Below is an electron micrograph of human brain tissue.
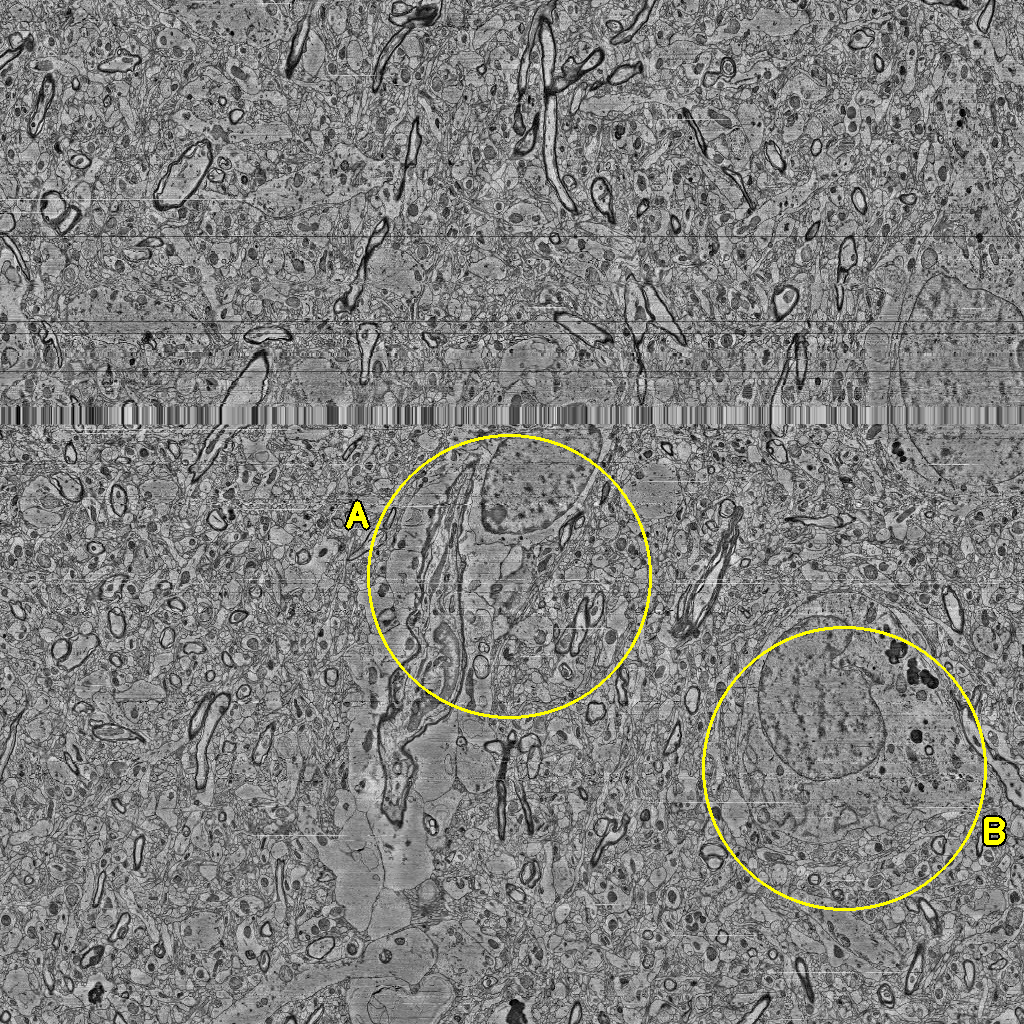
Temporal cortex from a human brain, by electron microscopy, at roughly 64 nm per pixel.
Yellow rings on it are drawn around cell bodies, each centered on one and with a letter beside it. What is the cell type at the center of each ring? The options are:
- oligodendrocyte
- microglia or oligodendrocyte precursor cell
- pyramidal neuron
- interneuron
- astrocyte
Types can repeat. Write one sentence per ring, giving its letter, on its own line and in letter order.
At the center of ring A is an oligodendrocyte.
At the center of ring B is a pyramidal neuron.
